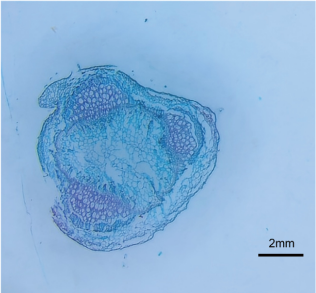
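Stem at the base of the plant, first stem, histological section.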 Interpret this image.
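A cross-section of a stem shows a thin outer layer surrounding a ring of large vascular bundles packed with wide, rounded cells stained magenta to purple, set among blue-green stained tissue. The centre is filled with larger, pale polygonal cells of the pith. The magenta clusters of wide-lumened cells are the xylem vessels within the vascular bundles.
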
